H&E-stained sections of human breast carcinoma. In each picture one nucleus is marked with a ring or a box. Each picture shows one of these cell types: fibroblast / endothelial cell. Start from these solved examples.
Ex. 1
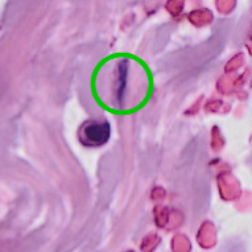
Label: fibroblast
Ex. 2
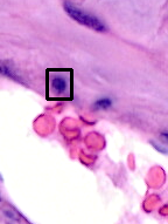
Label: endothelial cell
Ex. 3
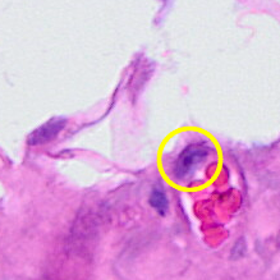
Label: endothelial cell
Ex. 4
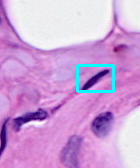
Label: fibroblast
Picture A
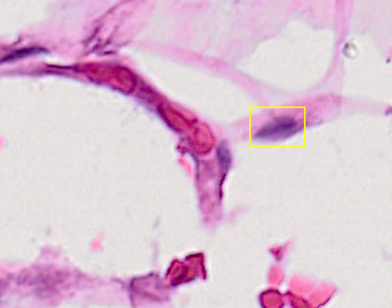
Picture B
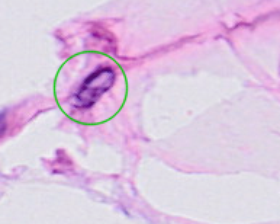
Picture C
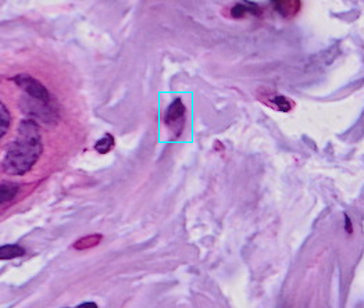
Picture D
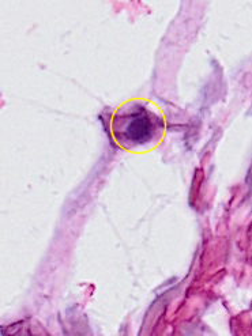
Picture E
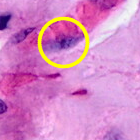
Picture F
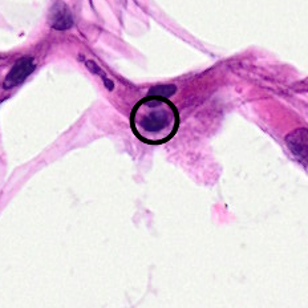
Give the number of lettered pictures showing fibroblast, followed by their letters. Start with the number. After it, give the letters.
2, namely B, C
